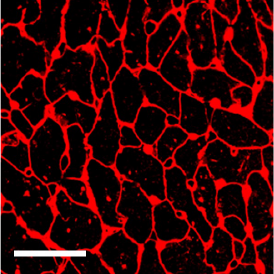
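Red outlines trace the border of each myocyte, forming a dense honeycomb-like network. Cell interiors are dark with faint speckling. Scattered small bright red foci and thickened red seams sit at the junctions between adjacent cells.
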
